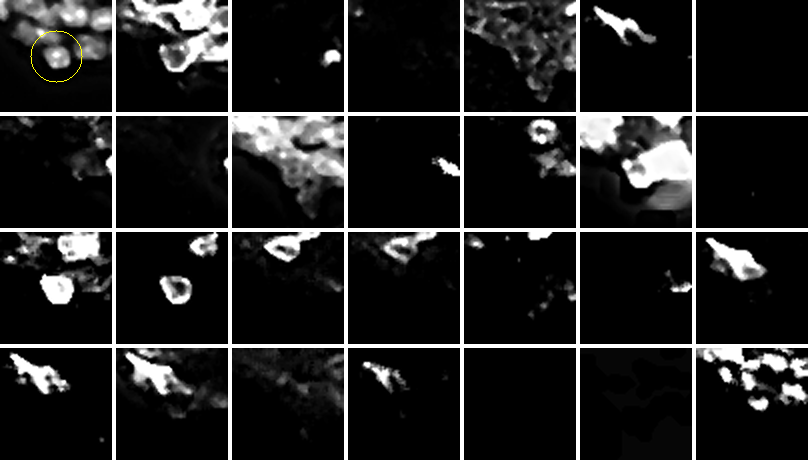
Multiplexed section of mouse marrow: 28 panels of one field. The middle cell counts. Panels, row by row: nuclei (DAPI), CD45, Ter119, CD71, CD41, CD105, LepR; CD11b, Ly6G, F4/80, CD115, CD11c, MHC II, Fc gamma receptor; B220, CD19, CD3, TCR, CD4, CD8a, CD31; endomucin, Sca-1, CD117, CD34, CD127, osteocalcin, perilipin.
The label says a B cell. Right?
Right.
